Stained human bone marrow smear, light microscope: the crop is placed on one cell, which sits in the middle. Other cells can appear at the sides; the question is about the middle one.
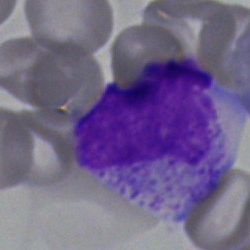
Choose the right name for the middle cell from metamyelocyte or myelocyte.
myelocyte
